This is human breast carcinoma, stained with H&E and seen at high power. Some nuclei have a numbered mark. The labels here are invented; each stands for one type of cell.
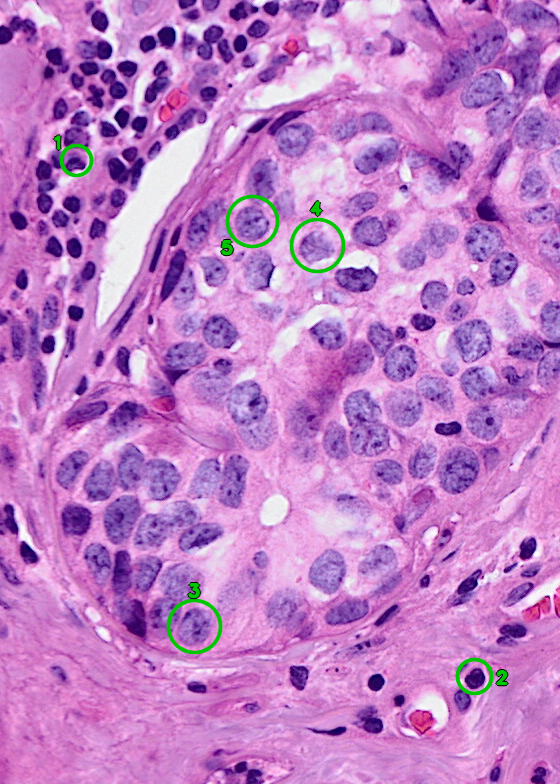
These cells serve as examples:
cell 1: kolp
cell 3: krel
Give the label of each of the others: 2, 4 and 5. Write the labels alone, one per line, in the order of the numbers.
kolp
krel
krel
